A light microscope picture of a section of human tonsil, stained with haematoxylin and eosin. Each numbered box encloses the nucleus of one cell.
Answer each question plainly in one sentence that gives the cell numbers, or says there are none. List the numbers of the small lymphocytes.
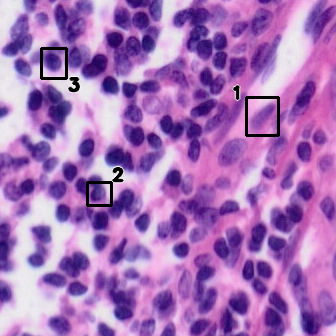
When it comes to cells 2 and 3, they are small lymphocytes.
